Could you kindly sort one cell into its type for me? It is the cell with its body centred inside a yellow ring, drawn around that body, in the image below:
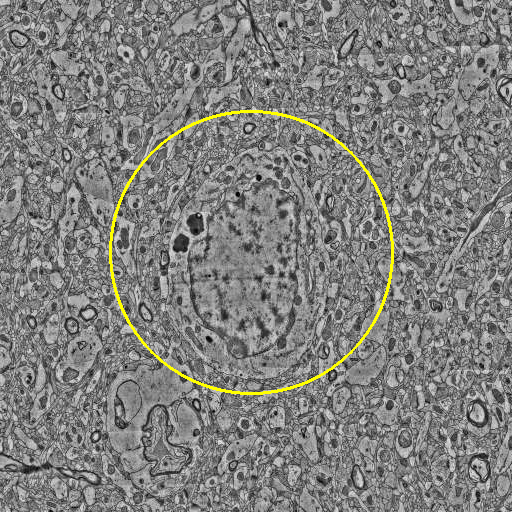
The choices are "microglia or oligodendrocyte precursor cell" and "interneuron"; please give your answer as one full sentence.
The cell whose body lies centred in the yellow ring here is an interneuron.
